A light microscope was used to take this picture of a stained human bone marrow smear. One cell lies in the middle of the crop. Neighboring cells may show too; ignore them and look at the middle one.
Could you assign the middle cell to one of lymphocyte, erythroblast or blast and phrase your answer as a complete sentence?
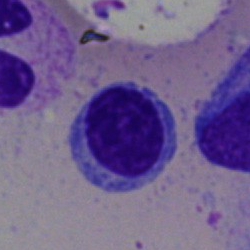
Positioned in the middle of the crop is a lymphocyte.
